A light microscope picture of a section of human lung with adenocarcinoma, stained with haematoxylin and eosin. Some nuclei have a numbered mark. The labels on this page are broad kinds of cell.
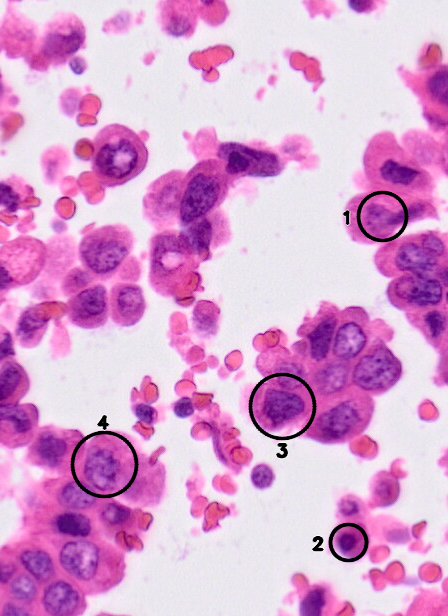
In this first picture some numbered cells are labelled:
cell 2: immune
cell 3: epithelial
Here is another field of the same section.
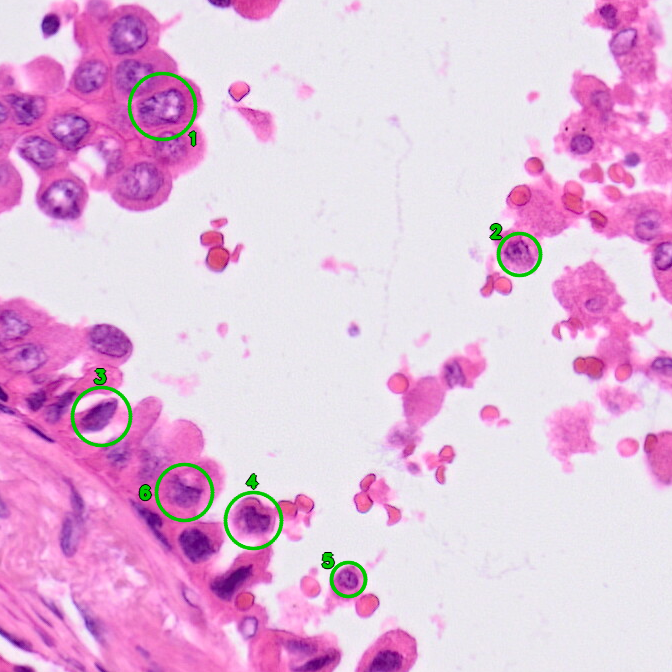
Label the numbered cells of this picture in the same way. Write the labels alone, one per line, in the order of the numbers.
epithelial
immune
epithelial
epithelial
immune
epithelial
